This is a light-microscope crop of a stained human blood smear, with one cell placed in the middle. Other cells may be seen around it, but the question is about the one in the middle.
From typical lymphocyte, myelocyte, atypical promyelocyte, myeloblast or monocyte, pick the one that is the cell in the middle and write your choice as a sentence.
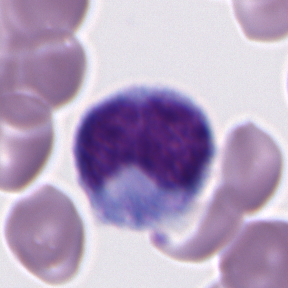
The cell positioned in the middle of the field is a monocyte.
